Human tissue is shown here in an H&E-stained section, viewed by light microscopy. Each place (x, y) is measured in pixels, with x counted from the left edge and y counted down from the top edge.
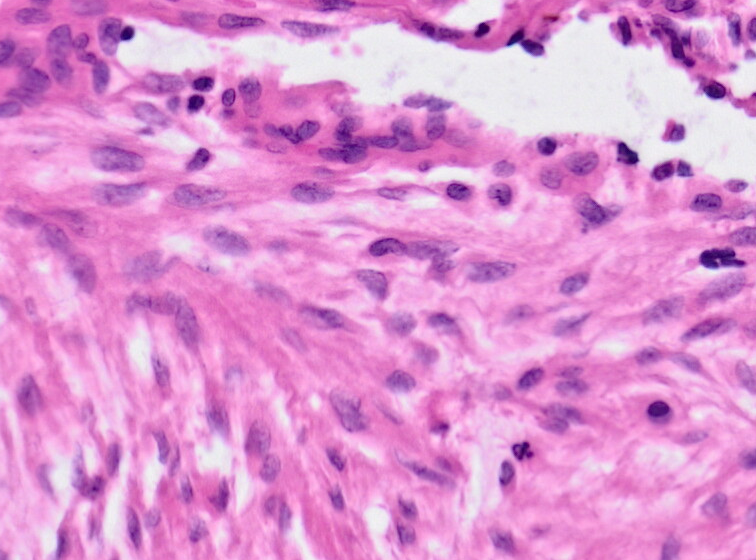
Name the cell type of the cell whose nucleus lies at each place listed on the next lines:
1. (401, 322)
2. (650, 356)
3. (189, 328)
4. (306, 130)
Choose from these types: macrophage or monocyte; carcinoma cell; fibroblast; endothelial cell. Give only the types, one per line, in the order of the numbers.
fibroblast
fibroblast
fibroblast
endothelial cell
